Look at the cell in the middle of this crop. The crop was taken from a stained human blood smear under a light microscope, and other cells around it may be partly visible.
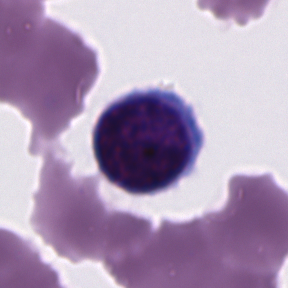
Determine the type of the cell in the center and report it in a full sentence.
The middle of this crop is occupied by a hairy cell.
